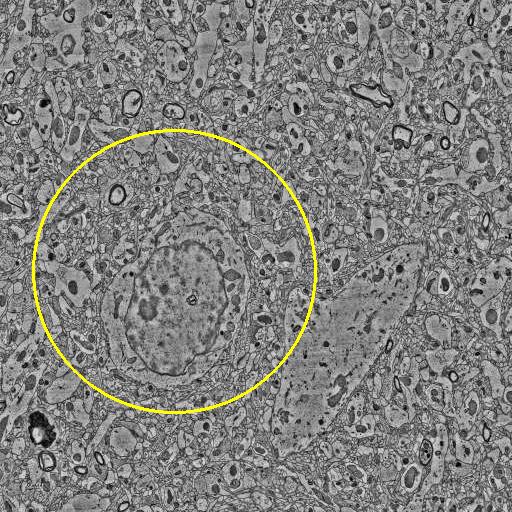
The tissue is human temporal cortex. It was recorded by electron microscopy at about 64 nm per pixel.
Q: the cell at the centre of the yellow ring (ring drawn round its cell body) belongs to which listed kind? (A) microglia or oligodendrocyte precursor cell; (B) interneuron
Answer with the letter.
B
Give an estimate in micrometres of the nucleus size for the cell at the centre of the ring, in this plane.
The nucleus measures about 9 by 6 micrometres in this plane.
